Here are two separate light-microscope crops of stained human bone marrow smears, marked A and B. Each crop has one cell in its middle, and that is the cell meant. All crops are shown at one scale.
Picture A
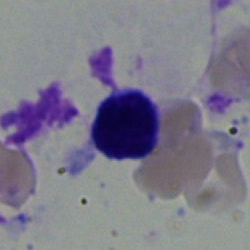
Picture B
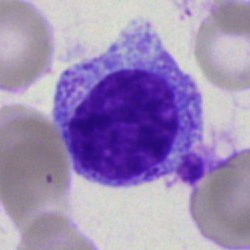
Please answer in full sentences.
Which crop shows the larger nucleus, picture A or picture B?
It is the nucleus in picture B, about 3 times as large in area as the one in picture A.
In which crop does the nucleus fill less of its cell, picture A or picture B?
In picture B the nucleus takes up the smaller part of its cell.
